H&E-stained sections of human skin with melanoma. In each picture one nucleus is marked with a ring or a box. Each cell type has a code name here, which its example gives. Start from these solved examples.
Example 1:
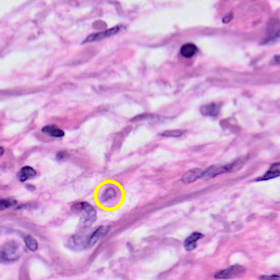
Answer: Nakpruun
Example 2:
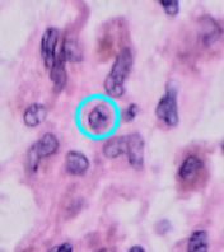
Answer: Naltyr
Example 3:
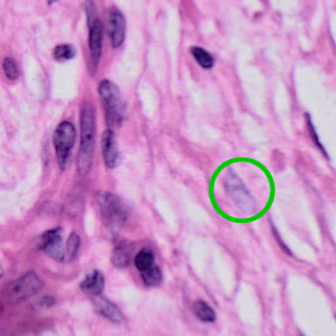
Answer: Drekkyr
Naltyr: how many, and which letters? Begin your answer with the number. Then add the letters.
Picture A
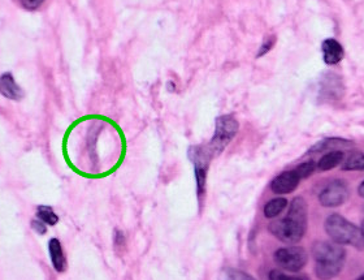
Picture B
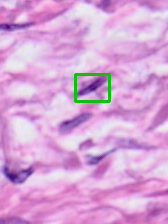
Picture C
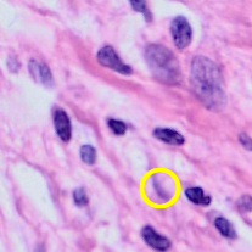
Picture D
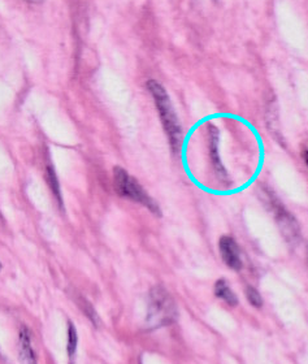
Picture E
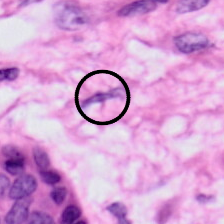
0, none of them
